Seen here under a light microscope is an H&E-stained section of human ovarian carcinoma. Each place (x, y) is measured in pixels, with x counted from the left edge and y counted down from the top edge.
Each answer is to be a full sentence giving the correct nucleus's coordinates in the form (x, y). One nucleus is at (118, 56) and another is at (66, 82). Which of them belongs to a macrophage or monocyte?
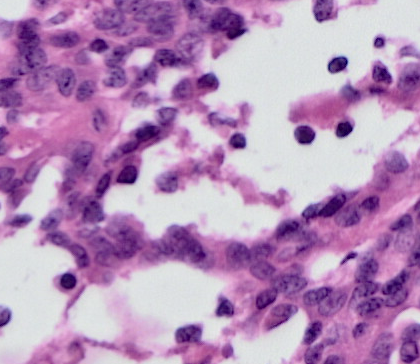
The nucleus of a macrophage or monocyte lies at (66, 82), not at the other position.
